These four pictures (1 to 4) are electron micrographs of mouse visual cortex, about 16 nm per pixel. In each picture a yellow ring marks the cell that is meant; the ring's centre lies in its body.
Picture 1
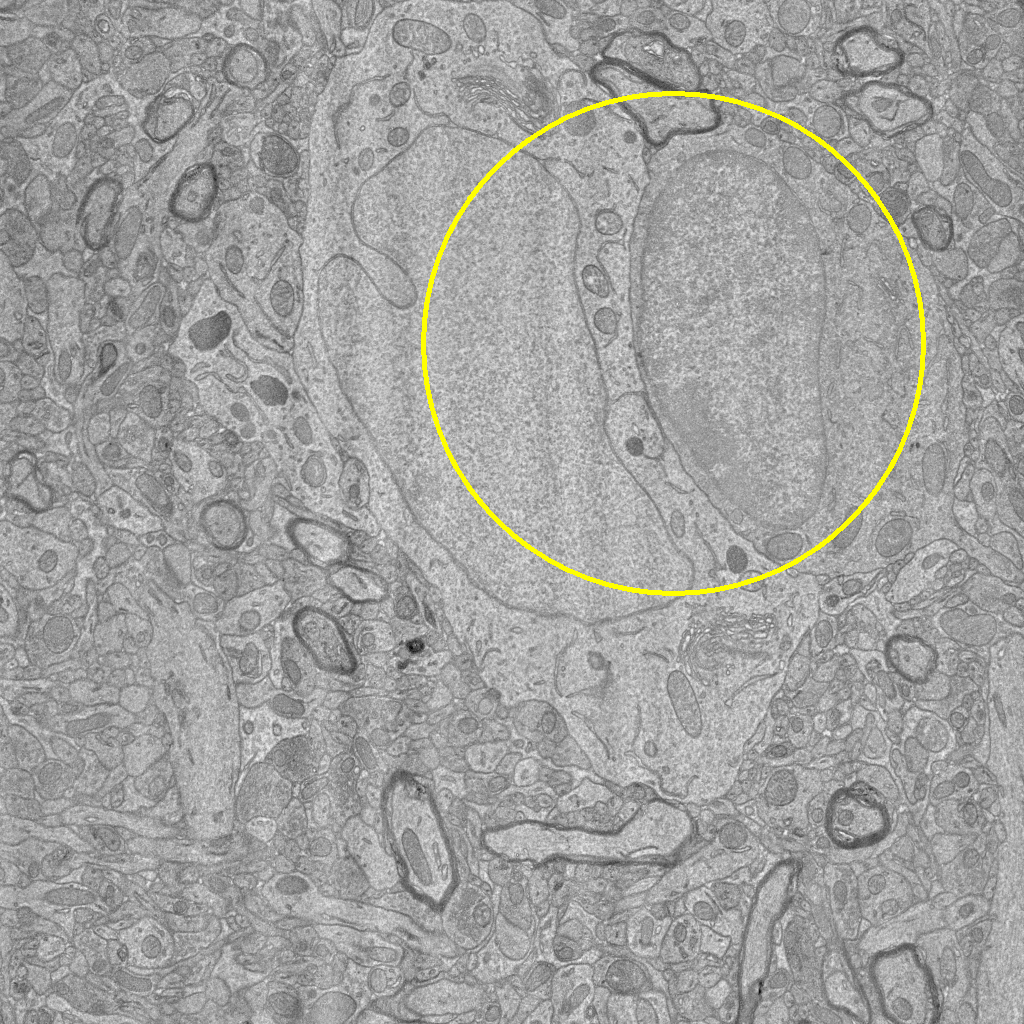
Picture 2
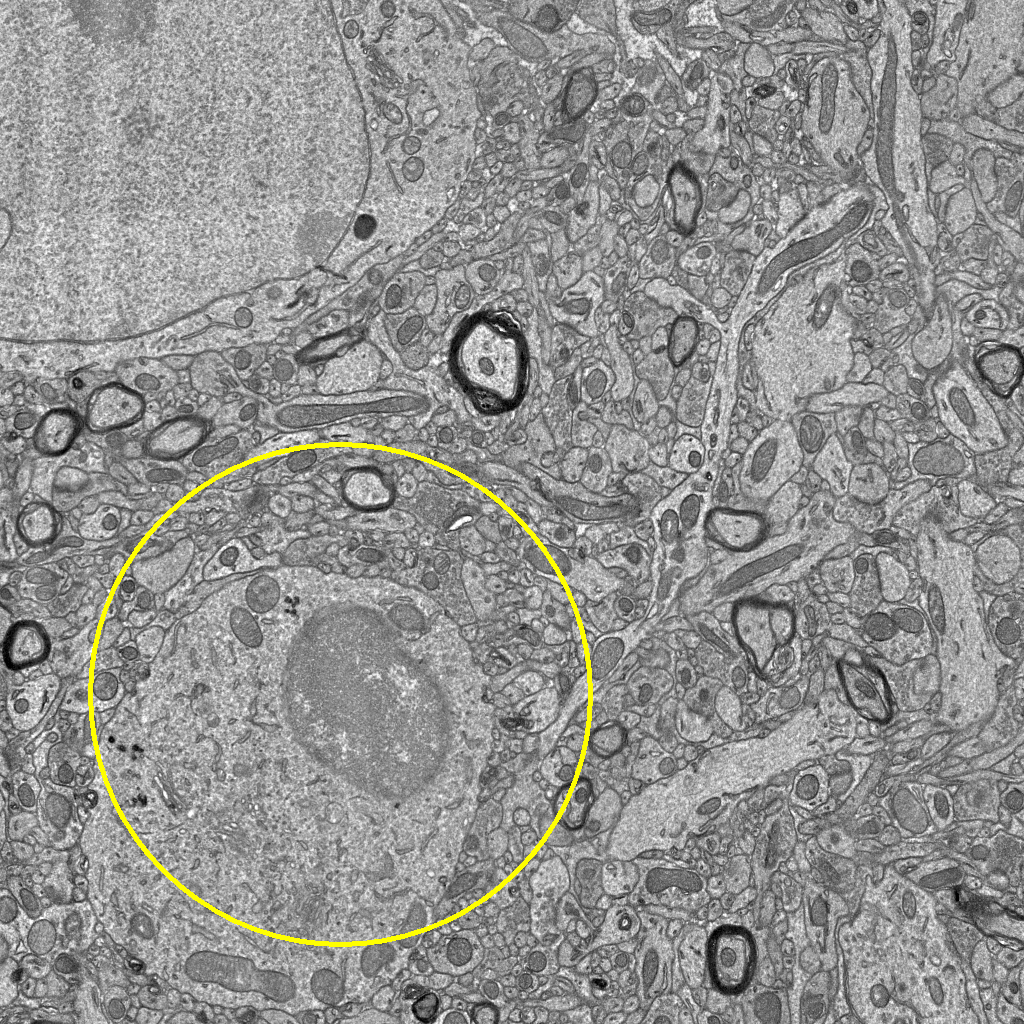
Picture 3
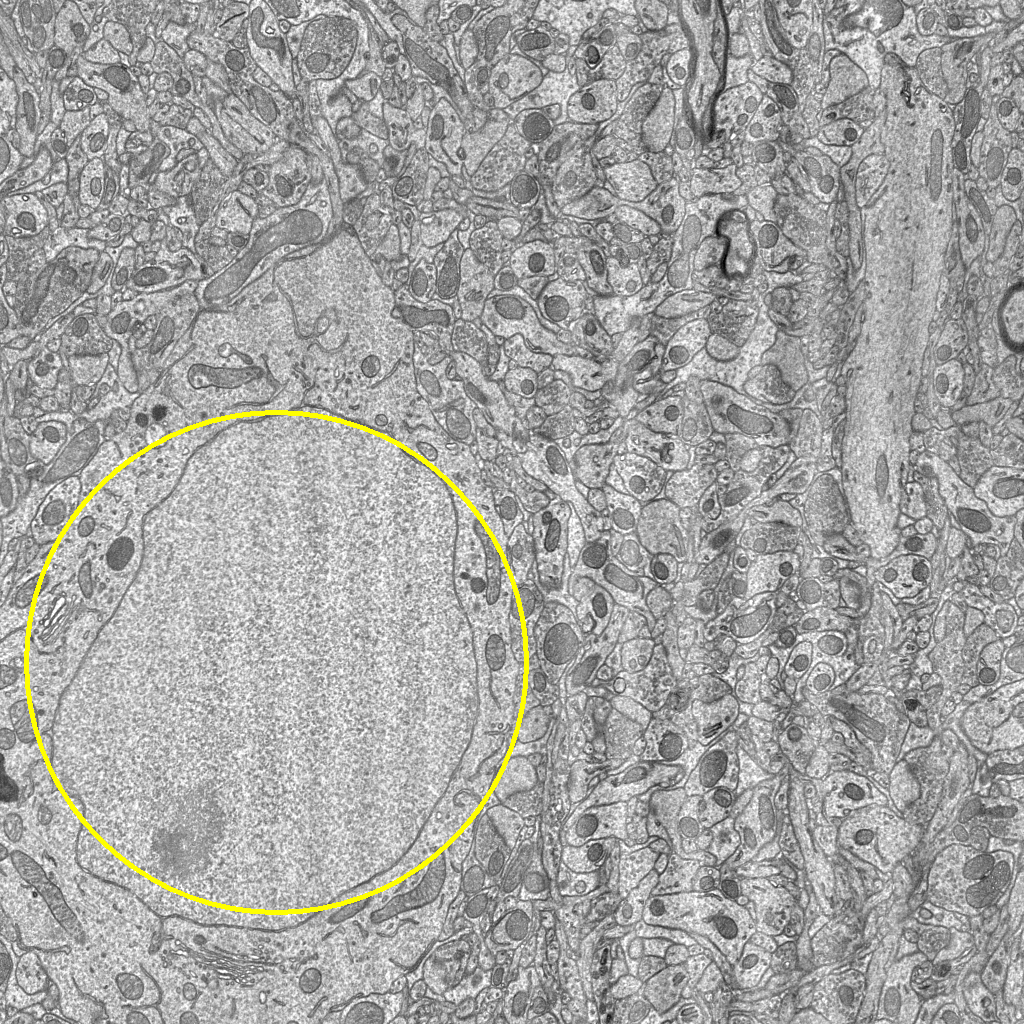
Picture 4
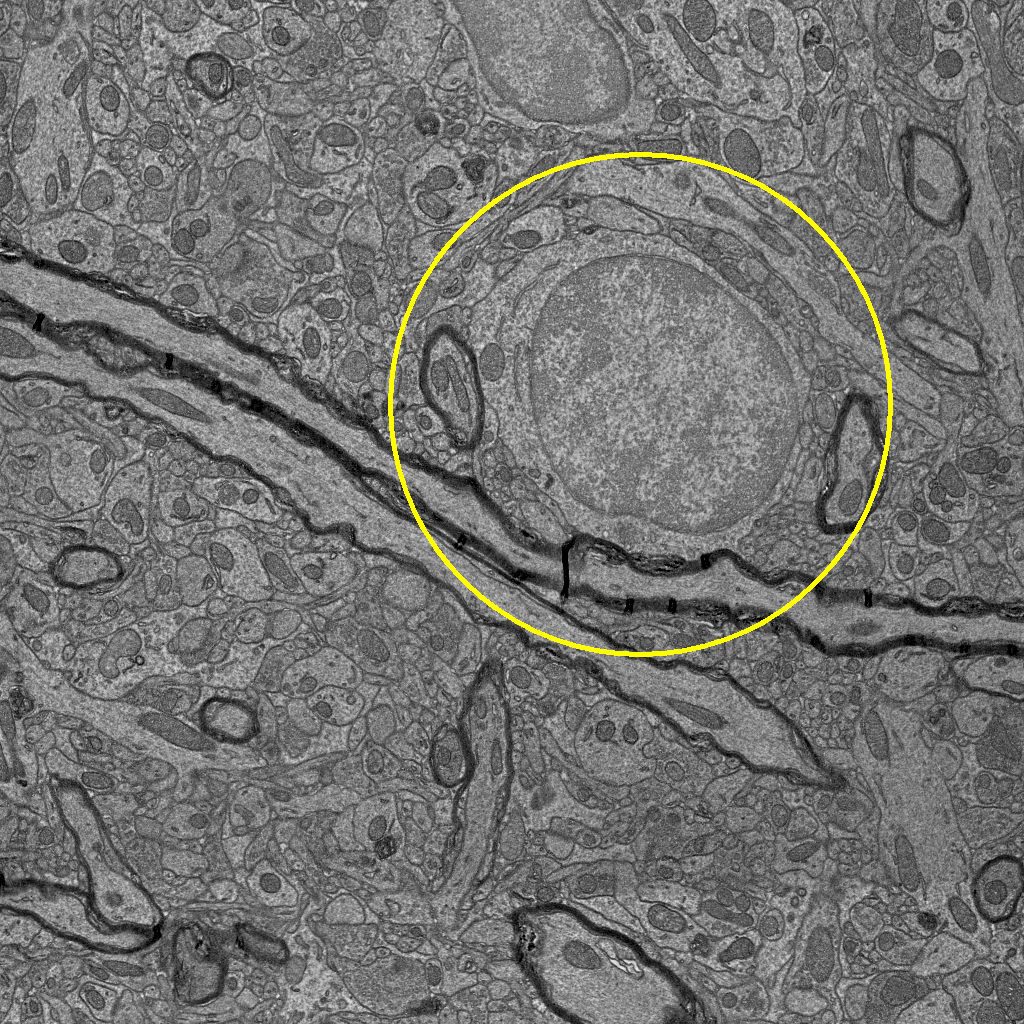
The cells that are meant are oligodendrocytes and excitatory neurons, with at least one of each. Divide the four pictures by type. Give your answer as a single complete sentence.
Pictures 1, 2 and 4 show oligodendrocytes; picture 3 shows an excitatory neuron.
